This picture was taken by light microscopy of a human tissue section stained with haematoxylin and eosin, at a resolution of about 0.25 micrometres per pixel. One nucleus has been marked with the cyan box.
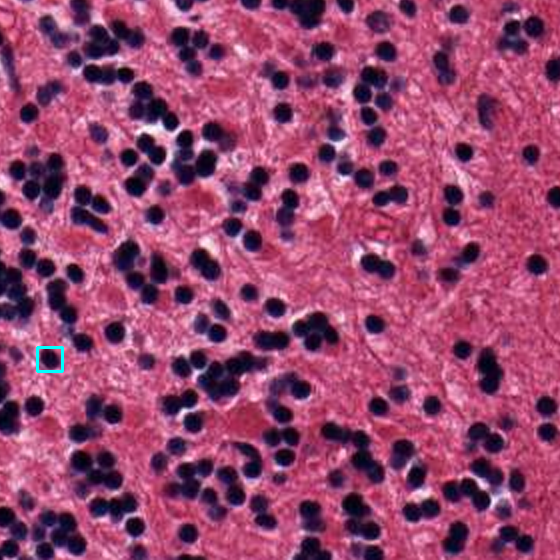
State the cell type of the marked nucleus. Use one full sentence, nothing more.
As shown here, the nucleus that is marked is that of a cerebellar granule cell.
